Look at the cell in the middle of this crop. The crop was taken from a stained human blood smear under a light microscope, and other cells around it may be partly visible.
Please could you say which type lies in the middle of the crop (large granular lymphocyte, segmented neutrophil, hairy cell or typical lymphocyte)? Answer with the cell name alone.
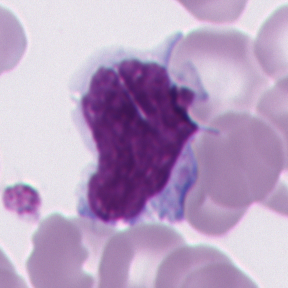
typical lymphocyte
